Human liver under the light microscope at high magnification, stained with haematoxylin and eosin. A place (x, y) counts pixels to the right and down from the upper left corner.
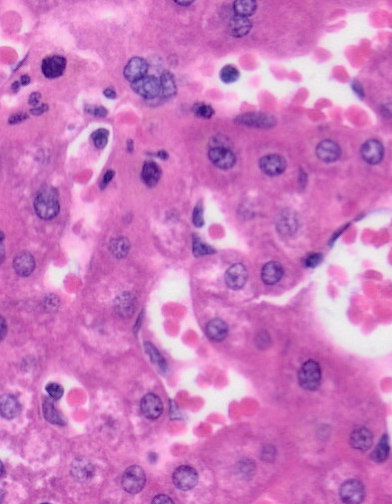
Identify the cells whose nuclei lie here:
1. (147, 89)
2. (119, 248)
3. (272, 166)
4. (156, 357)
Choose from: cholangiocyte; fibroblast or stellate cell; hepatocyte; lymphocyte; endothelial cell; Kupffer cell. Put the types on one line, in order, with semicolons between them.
cholangiocyte; hepatocyte; hepatocyte; Kupffer cell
